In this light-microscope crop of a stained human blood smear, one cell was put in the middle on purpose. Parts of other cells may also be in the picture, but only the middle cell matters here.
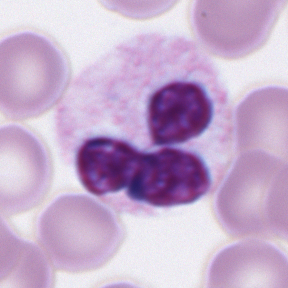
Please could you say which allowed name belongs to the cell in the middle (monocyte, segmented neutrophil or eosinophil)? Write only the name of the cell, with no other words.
segmented neutrophil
